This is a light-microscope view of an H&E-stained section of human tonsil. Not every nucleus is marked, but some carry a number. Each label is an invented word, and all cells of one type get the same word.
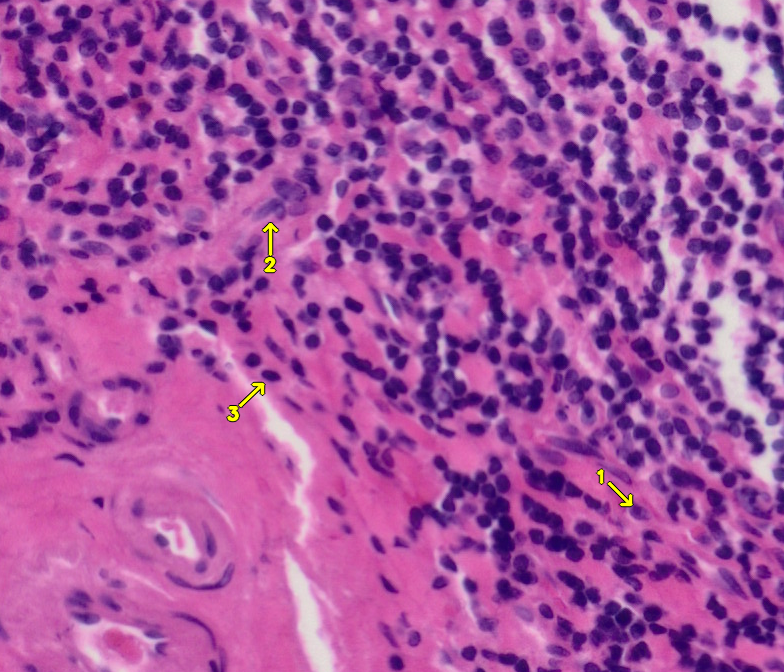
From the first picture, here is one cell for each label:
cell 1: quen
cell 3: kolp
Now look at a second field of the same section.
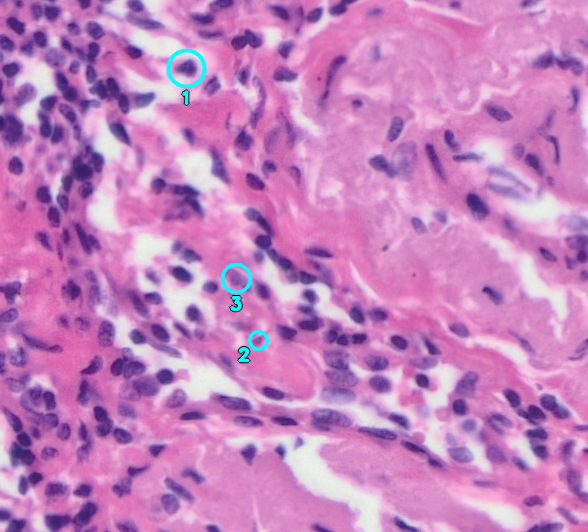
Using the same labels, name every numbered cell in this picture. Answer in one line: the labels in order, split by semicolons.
kolp; quen; quen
